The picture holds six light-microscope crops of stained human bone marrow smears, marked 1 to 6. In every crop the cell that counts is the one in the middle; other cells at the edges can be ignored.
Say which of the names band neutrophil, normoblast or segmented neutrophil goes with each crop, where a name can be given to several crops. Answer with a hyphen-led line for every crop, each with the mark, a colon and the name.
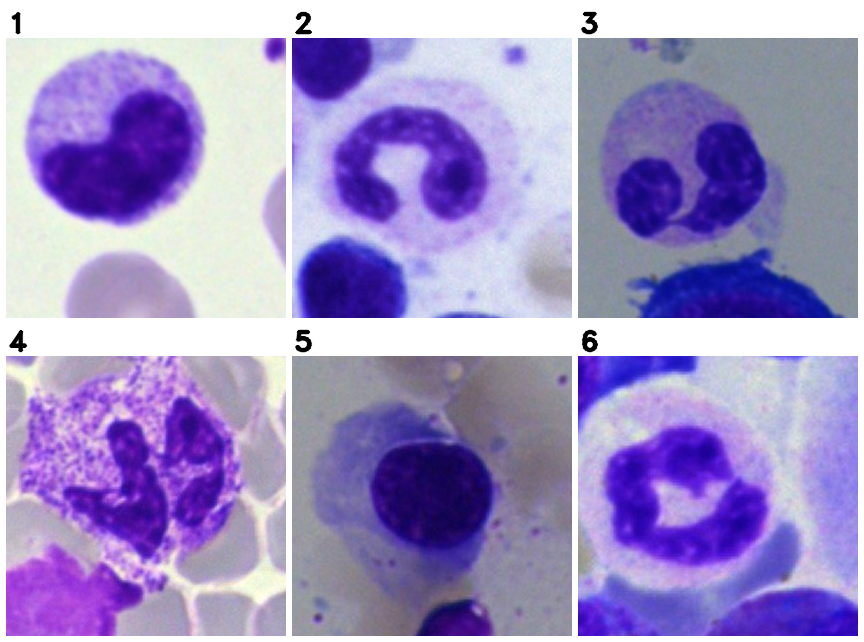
- 1: band neutrophil
- 2: segmented neutrophil
- 3: segmented neutrophil
- 4: segmented neutrophil
- 5: normoblast
- 6: segmented neutrophil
